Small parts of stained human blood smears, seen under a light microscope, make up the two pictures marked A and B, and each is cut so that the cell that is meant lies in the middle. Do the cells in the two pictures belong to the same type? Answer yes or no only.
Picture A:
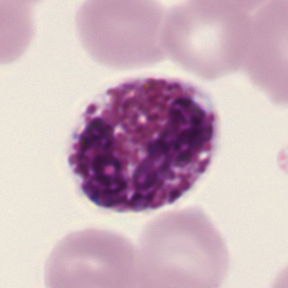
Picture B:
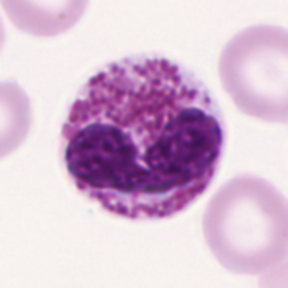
yes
